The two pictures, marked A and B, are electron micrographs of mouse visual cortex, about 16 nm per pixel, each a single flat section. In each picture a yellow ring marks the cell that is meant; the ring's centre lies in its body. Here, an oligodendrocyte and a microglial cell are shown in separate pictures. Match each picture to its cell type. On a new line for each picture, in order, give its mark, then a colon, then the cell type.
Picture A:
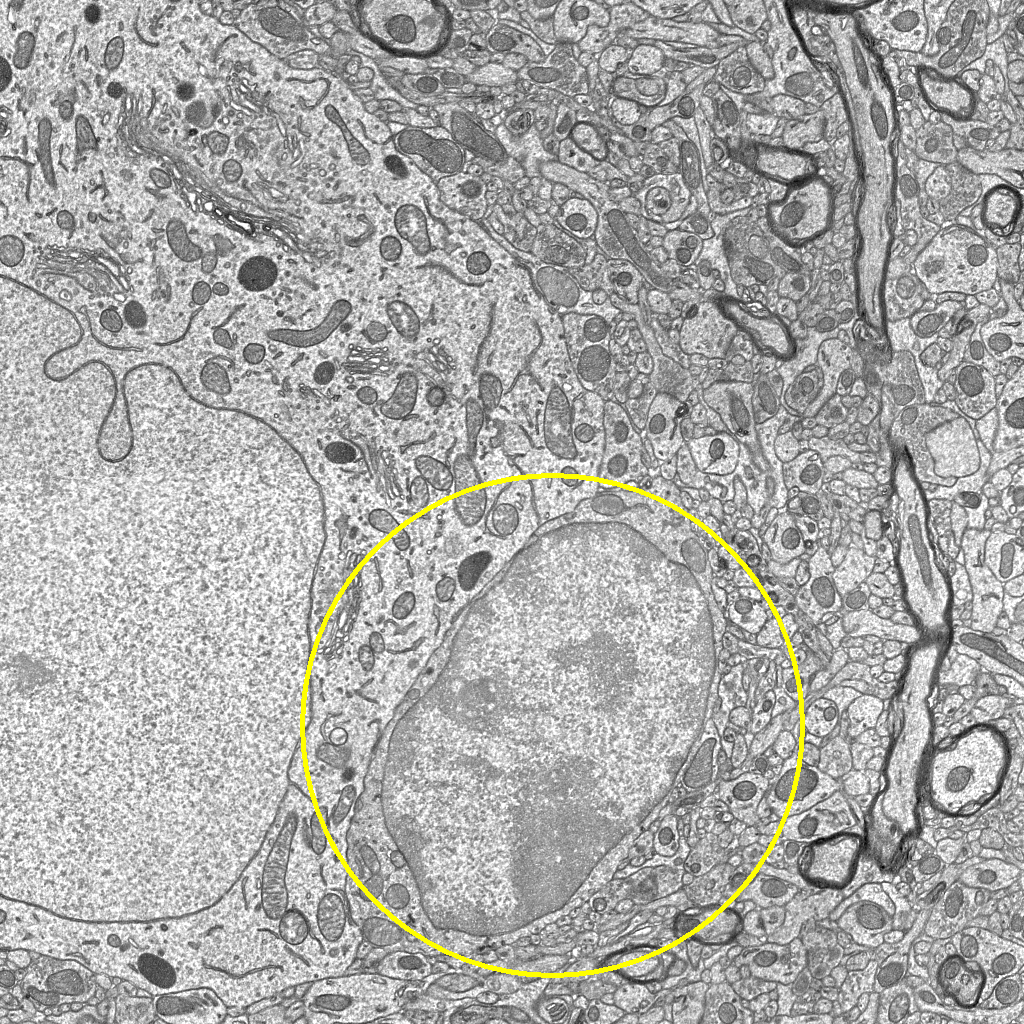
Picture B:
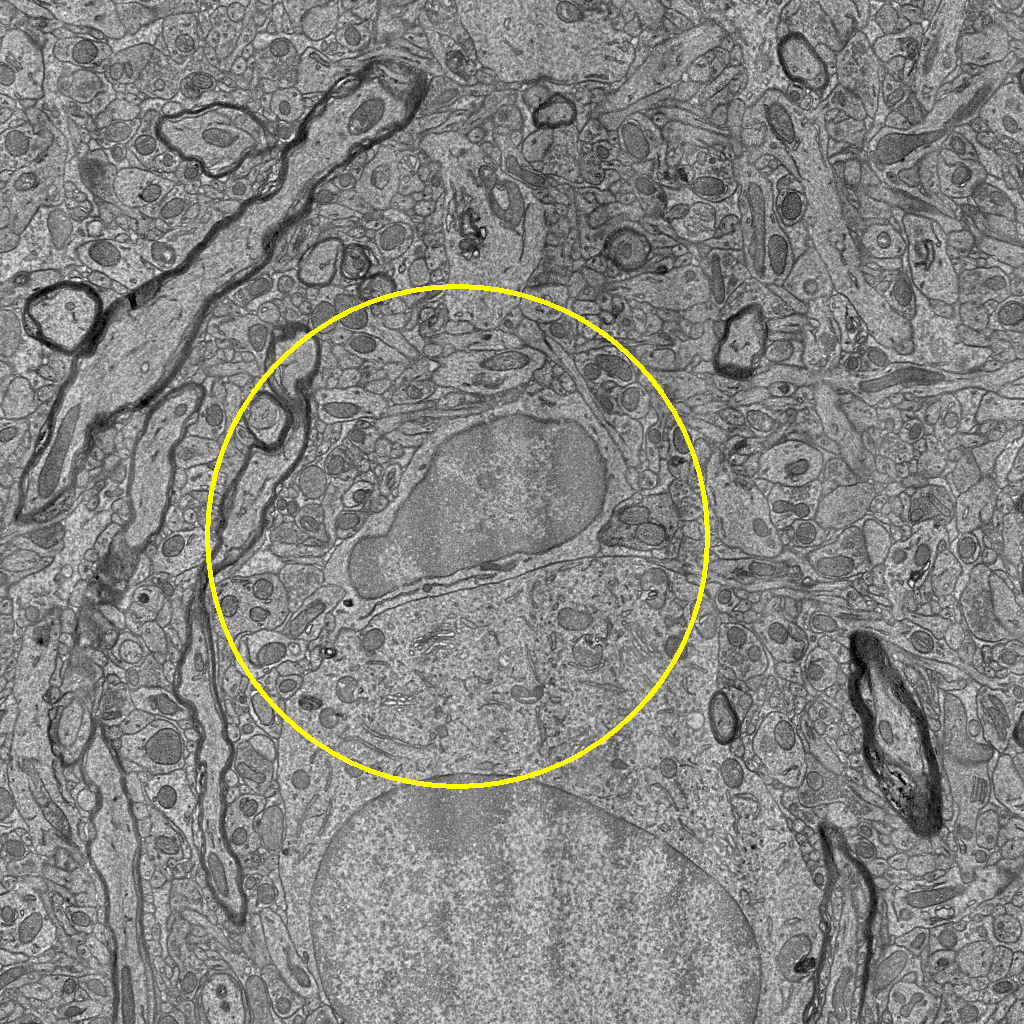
A: oligodendrocyte
B: microglial cell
